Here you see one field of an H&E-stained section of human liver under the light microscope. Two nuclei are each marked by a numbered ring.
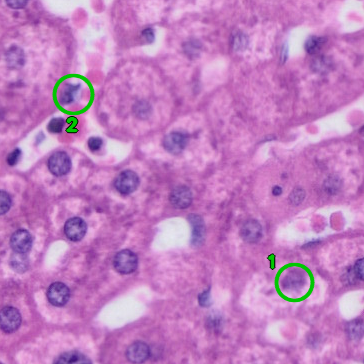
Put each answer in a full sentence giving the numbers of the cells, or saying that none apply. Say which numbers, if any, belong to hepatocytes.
Unlike the other numbered cells, cell 1 is a hepatocyte.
